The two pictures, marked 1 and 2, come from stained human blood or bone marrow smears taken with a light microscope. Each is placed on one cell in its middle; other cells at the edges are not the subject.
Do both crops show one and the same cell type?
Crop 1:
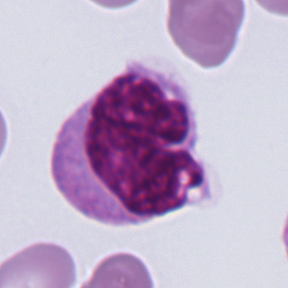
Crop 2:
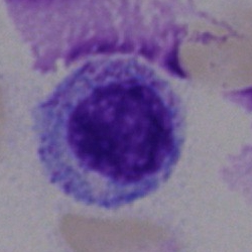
no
